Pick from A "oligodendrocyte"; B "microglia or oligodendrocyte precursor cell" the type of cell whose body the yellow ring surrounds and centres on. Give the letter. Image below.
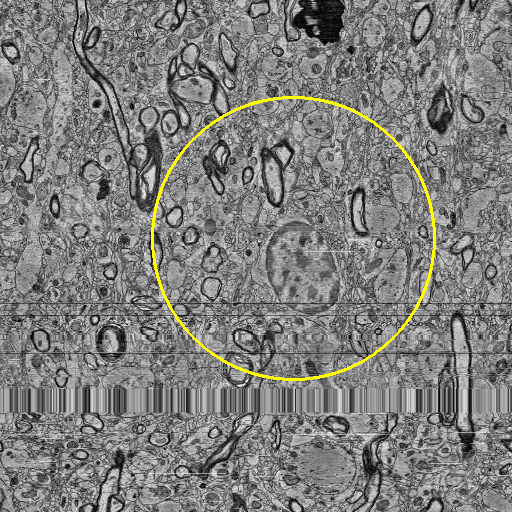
B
